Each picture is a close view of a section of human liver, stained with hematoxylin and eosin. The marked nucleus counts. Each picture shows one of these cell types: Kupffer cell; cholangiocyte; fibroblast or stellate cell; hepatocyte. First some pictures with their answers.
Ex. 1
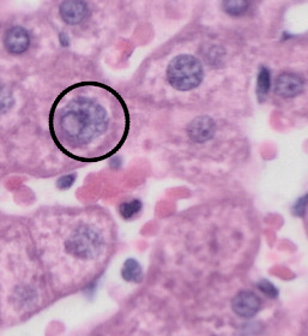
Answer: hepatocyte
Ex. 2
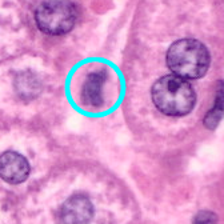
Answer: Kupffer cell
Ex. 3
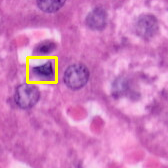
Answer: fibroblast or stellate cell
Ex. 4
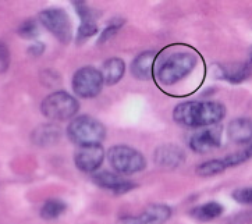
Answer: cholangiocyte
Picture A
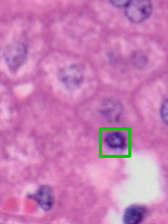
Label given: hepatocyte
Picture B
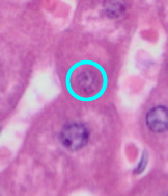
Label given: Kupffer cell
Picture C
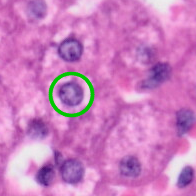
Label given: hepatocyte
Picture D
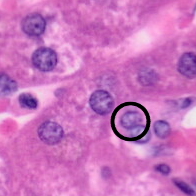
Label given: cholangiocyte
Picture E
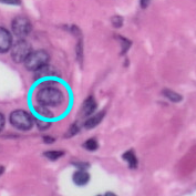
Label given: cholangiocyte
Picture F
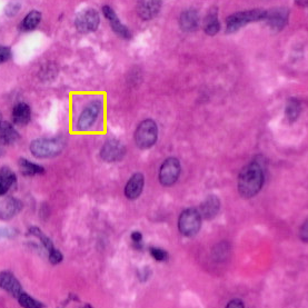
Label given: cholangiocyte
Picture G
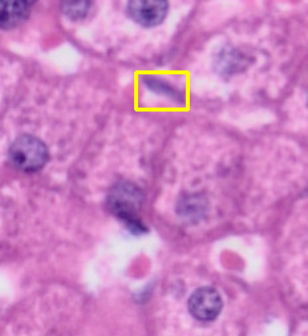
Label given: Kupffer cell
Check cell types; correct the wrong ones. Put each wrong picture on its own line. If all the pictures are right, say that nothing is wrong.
A: change hepatocyte to fibroblast or stellate cell
B: change Kupffer cell to hepatocyte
